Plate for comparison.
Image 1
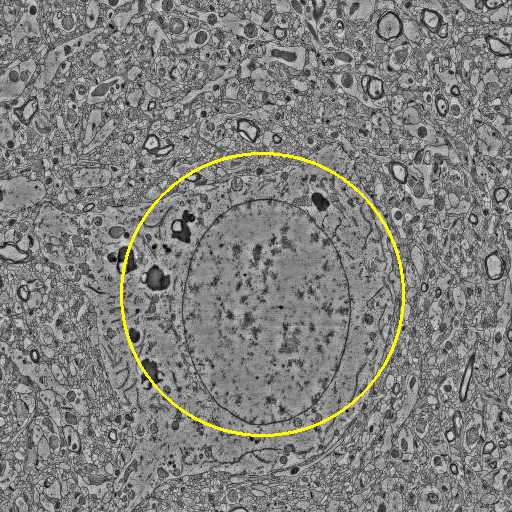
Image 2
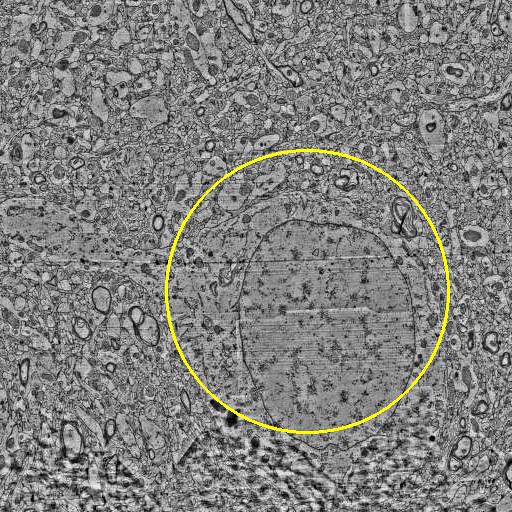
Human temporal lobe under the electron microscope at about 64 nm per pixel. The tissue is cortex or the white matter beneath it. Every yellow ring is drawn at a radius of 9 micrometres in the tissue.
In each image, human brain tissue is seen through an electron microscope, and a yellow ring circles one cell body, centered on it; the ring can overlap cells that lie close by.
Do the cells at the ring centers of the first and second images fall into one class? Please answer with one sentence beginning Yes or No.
Yes, the first and second images show a single class of cell at the ring centers.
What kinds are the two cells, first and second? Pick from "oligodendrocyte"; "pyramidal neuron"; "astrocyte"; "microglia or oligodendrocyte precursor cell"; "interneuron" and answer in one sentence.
Each of the ringed cells, first and second, is a pyramidal neuron.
